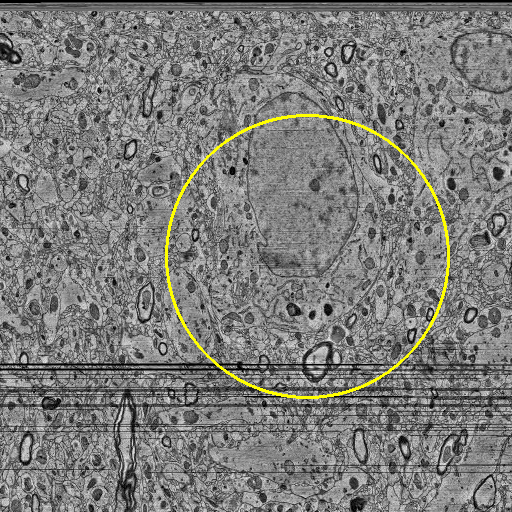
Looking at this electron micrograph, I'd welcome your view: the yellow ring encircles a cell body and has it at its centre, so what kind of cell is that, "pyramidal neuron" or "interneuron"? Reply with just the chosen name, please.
pyramidal neuron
